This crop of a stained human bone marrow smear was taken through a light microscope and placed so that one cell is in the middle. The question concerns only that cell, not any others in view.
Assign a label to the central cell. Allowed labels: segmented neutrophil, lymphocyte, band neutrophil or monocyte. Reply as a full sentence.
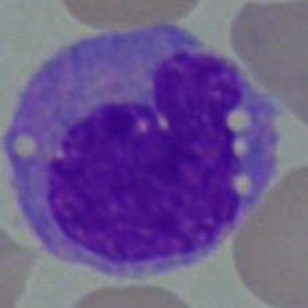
The cell at the heart of this crop is a monocyte.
